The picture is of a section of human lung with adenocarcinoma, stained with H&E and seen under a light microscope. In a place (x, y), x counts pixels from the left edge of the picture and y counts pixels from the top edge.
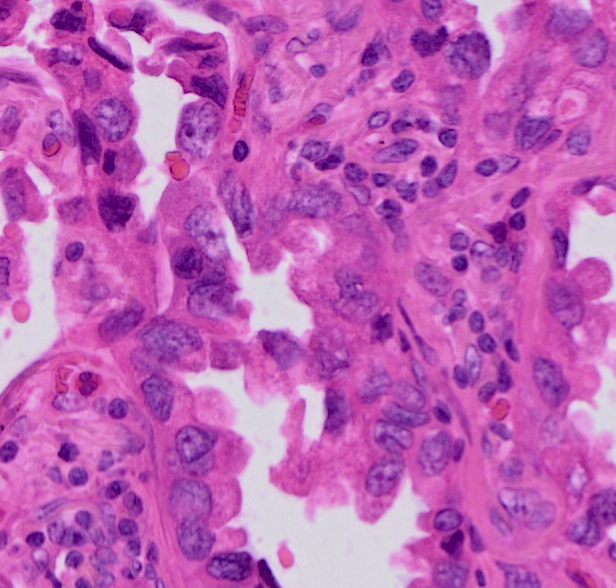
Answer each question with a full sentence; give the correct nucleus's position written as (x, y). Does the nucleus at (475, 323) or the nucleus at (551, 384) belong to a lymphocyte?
The one nucleus of the two that belongs to a lymphocyte is at (475, 323).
